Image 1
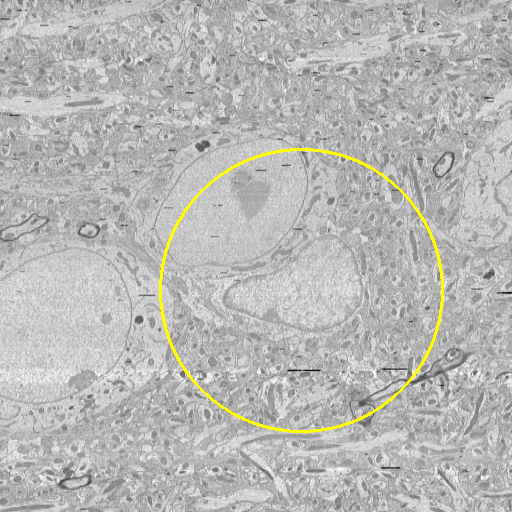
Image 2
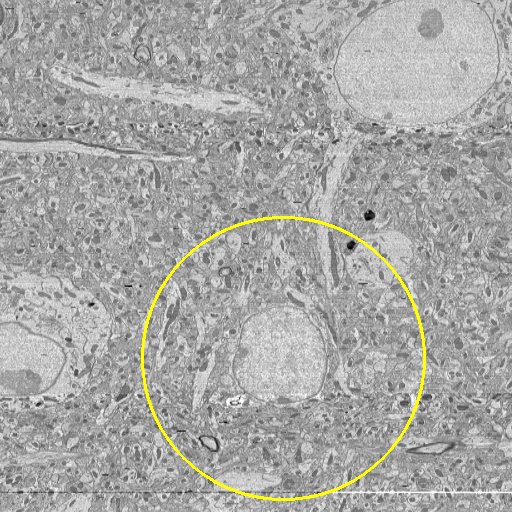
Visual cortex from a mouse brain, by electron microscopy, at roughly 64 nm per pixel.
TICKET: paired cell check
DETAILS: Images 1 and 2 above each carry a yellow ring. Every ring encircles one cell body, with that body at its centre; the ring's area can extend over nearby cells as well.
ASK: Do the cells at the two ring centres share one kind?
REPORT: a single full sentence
Yes, the ring-centre cells of Images 1 and 2 belong to a single kind.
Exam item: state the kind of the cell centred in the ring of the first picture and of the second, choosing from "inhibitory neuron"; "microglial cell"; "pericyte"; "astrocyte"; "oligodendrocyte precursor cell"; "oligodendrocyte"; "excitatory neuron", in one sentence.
In each picture the ringed cell is an astrocyte.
